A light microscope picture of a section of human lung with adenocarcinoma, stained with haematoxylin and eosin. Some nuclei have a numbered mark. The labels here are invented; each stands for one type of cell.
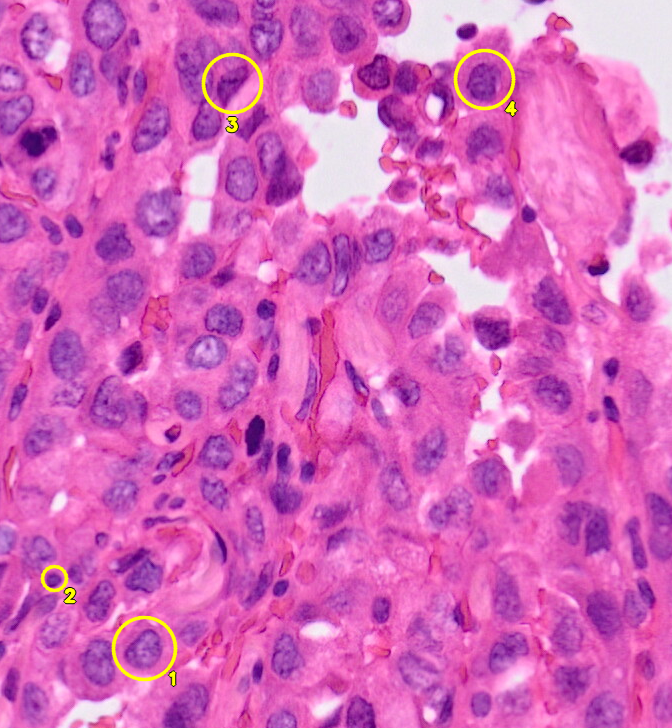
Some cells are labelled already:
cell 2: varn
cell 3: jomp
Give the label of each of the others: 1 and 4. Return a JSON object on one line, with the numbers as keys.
{"1": "jomp", "4": "jomp"}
